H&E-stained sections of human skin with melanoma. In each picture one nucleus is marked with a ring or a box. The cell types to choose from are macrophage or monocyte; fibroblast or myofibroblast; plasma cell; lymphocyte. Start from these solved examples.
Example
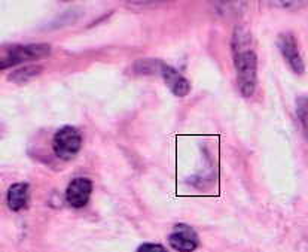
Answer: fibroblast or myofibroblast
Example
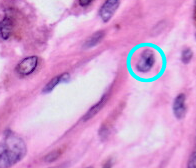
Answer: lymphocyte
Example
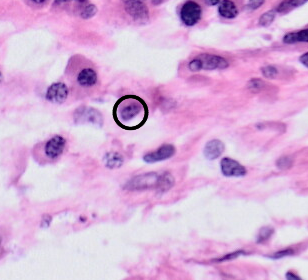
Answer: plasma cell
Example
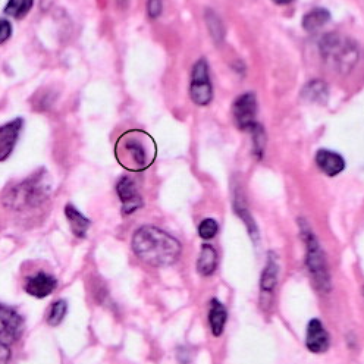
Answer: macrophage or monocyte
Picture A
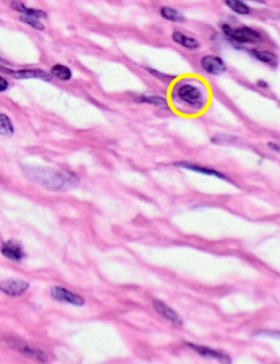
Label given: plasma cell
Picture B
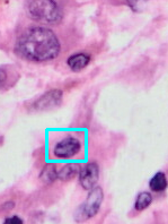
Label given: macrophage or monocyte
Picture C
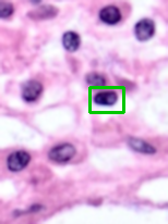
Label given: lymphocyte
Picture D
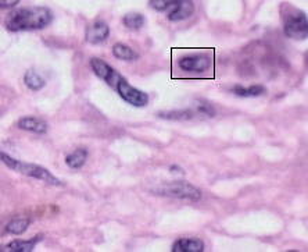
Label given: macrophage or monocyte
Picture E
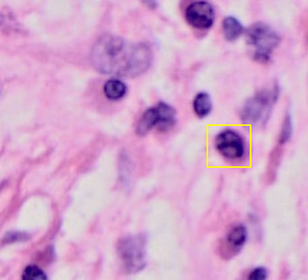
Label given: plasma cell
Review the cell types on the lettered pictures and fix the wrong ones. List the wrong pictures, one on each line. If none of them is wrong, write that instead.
B is labelled macrophage or monocyte; correct label: lymphocyte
